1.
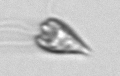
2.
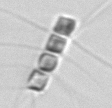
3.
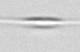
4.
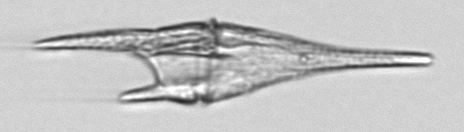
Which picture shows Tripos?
Picture 4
